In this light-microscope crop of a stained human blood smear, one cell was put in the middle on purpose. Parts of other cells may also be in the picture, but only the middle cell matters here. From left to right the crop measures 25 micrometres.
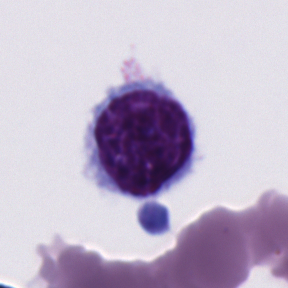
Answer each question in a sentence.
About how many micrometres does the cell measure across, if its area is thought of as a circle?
Taken as a circle, the cell has a diameter of about 10 micrometres.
